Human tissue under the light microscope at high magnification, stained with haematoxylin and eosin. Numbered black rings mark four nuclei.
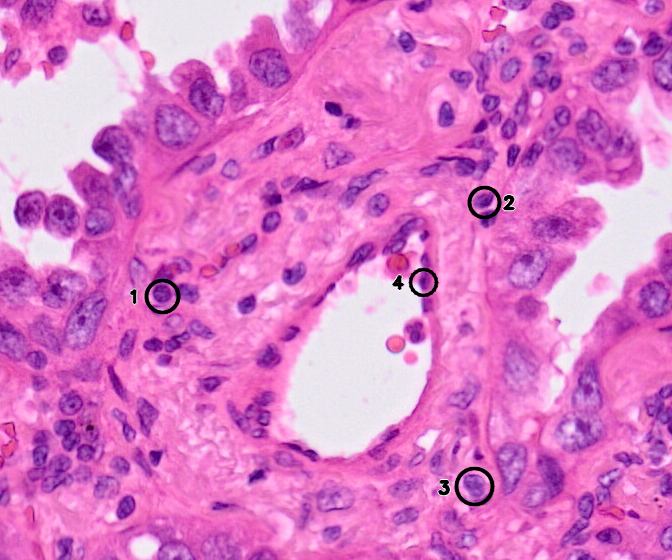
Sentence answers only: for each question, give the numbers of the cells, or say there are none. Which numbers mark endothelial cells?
Of the numbered cells, only cell 4 is an endothelial cell.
